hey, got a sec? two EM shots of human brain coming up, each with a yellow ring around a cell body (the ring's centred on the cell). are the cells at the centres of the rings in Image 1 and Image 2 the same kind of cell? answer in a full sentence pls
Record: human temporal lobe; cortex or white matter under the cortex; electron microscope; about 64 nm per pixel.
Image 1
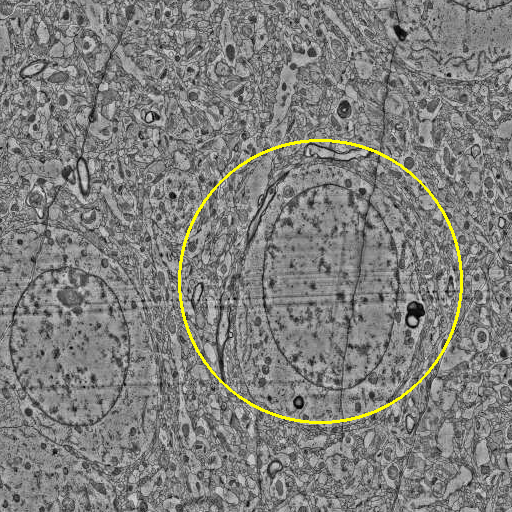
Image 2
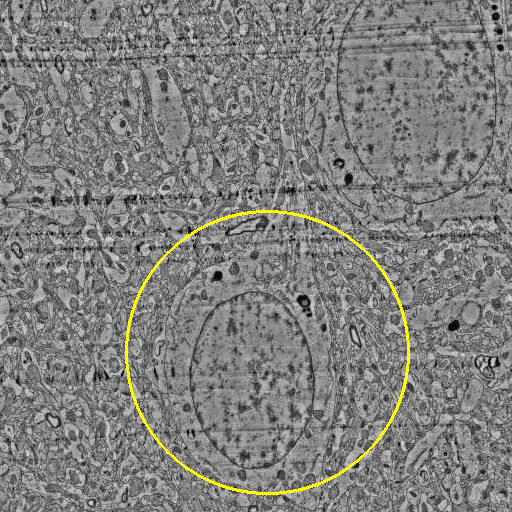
Yes, both are the same kind of cell.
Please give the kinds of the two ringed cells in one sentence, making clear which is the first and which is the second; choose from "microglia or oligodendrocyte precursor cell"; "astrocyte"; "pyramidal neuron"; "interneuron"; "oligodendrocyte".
Each cell at the centre of a ring is a pyramidal neuron.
